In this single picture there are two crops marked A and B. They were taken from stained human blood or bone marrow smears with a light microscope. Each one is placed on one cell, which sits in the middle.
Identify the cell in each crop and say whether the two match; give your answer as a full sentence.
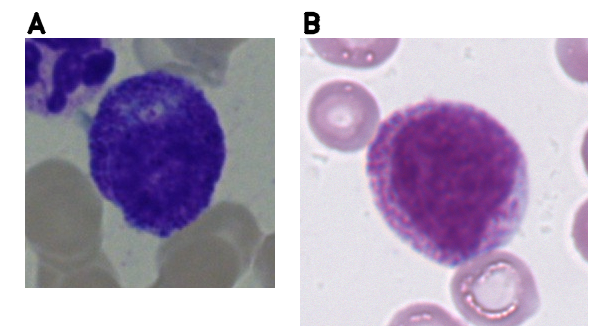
Yes, the two central cells, one per crop, are myelocytes.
